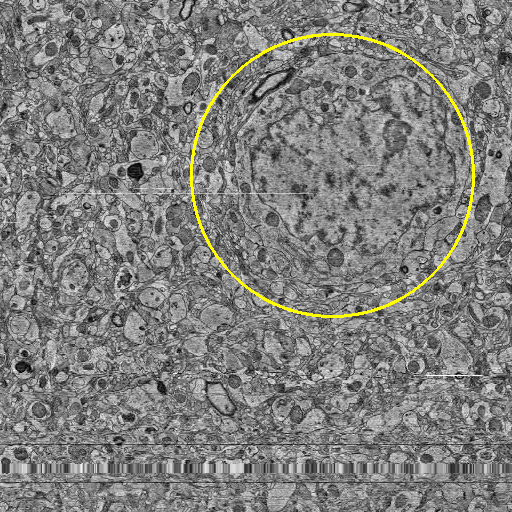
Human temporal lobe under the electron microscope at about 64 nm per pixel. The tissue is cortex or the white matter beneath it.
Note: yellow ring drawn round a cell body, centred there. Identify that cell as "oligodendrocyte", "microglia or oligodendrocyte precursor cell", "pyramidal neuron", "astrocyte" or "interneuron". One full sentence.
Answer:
The cell in the middle of the ring is an interneuron.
